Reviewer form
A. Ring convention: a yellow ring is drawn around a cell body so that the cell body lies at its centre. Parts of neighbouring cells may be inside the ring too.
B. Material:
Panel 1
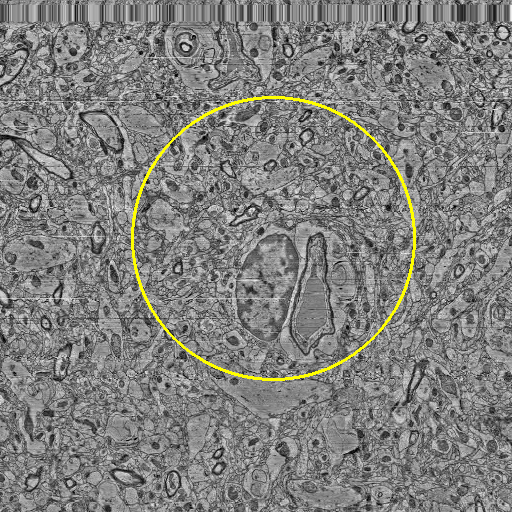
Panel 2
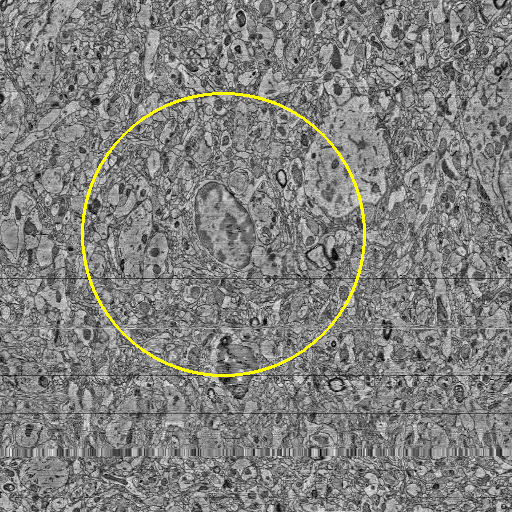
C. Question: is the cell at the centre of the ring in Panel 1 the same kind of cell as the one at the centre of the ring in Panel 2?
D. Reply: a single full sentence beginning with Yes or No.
Yes, the cells in Panel 1 and Panel 2 are the same kind of cell.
